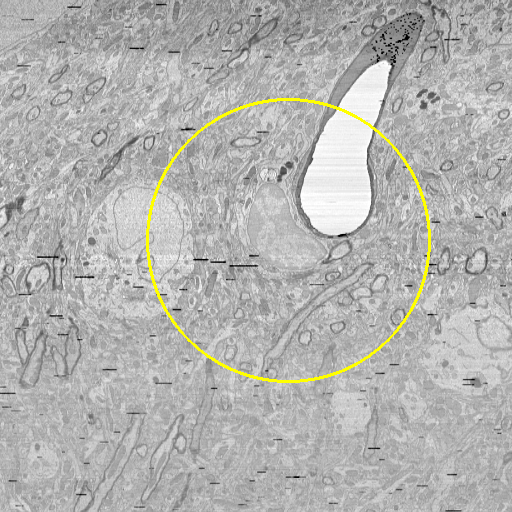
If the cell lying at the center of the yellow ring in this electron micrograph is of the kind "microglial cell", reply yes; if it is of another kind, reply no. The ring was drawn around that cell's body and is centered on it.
yes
